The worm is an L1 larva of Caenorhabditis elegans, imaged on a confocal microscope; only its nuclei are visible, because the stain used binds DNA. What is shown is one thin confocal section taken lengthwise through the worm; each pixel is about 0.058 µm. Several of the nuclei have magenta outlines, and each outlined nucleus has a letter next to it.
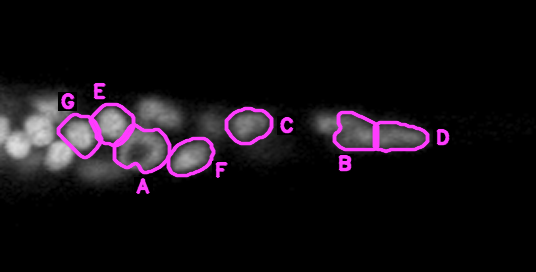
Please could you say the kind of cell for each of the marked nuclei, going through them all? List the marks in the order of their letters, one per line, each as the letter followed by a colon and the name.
A: seam cell
B: hypodermal cell (hyp)
C: hypodermal cell (hyp)
D: hypodermal cell (hyp)
E: neuron
F: neuron
G: glial cell (sheath or socket)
